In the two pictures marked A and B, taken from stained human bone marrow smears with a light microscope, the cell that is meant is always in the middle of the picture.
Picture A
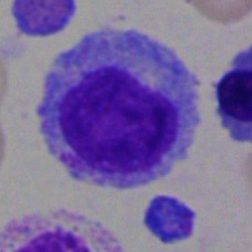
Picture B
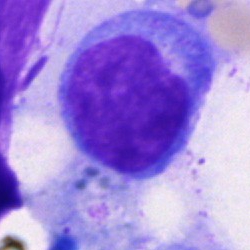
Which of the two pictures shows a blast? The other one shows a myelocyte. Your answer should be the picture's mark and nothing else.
B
